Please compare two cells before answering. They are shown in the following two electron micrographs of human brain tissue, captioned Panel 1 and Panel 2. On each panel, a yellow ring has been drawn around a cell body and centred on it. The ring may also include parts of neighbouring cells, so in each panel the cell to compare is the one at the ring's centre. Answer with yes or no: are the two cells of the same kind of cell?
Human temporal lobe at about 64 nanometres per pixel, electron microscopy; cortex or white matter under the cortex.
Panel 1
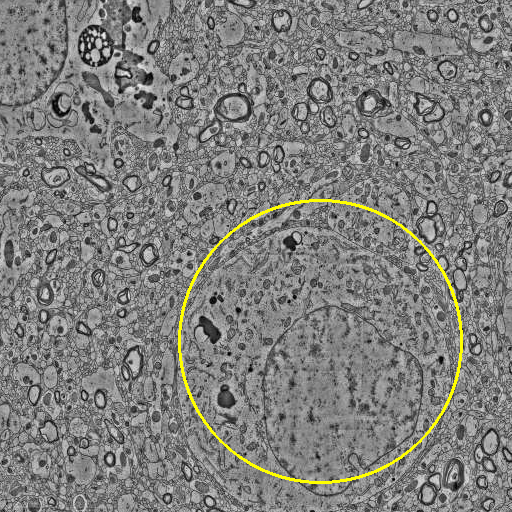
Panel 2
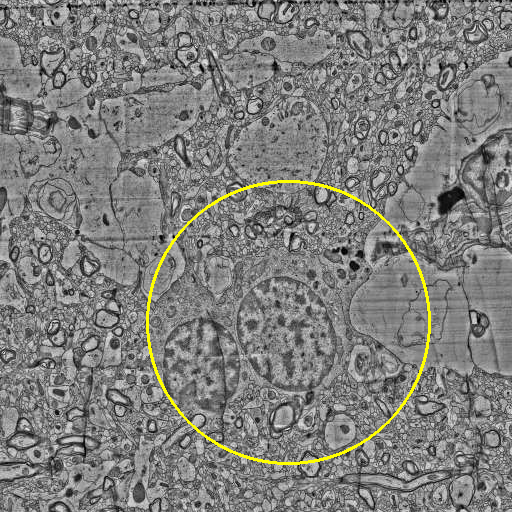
no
